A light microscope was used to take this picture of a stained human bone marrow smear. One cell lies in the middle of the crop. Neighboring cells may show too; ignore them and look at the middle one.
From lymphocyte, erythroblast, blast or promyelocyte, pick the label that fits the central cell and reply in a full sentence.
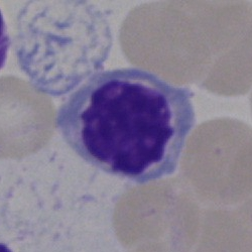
The cell in the exact centre of the crop is an erythroblast.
